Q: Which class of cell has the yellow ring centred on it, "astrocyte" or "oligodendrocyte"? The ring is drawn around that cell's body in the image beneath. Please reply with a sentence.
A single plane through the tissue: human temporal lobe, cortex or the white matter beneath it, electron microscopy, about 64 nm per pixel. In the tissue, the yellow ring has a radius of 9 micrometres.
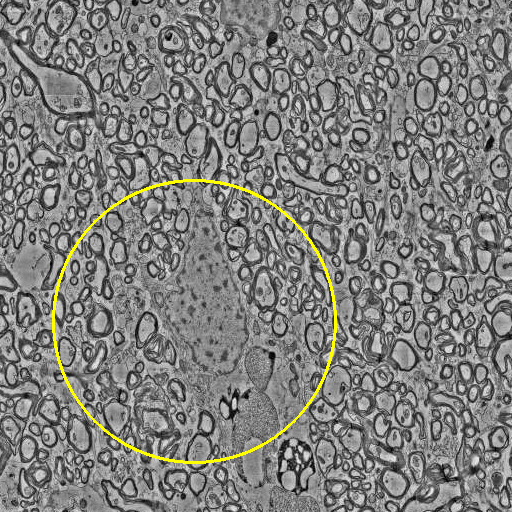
It is centred on an astrocyte.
